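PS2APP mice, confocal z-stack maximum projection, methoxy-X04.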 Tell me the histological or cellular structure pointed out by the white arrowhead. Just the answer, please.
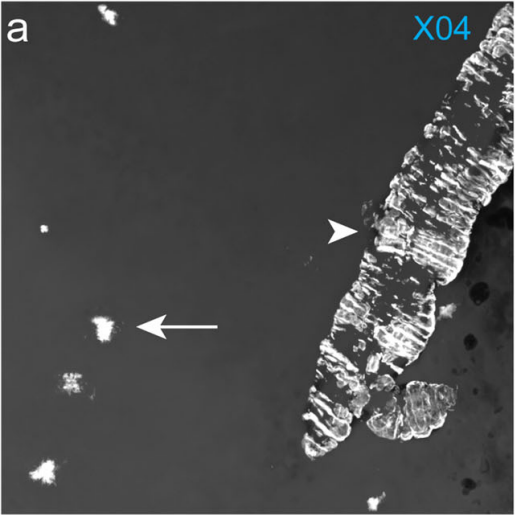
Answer: vascular amyloid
